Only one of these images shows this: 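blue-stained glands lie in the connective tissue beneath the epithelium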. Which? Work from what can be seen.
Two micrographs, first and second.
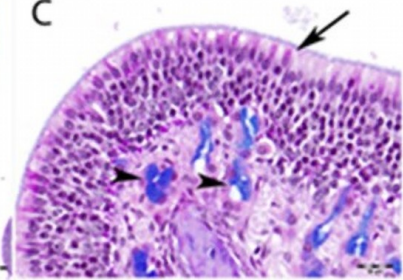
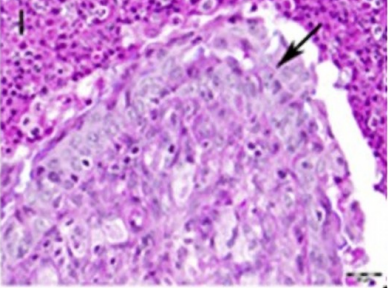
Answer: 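Second image: no bright blue structures beneath the surface. First image: several bright blue clusters beneath the epithelium. On this evidence: the first image.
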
